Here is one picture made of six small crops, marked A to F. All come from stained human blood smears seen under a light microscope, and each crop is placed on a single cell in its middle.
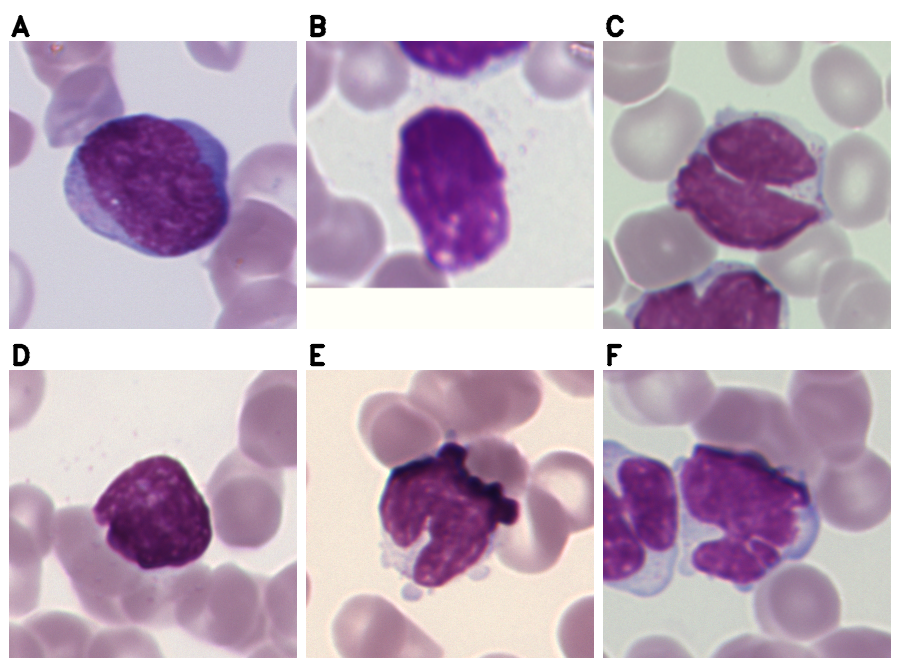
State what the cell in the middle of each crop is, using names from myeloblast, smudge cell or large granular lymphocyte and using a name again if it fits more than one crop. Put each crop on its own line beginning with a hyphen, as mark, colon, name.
- A: myeloblast
- B: smudge cell
- C: large granular lymphocyte
- D: smudge cell
- E: large granular lymphocyte
- F: large granular lymphocyte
